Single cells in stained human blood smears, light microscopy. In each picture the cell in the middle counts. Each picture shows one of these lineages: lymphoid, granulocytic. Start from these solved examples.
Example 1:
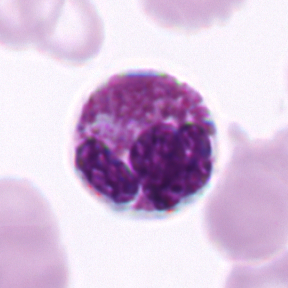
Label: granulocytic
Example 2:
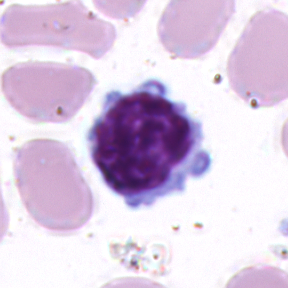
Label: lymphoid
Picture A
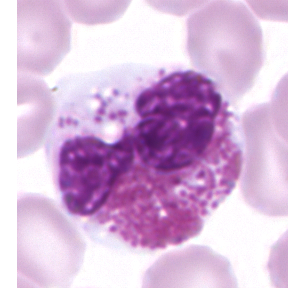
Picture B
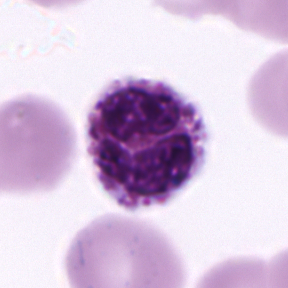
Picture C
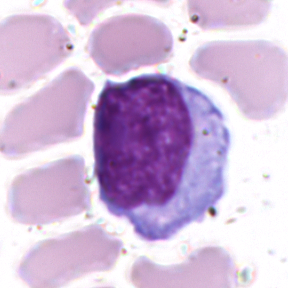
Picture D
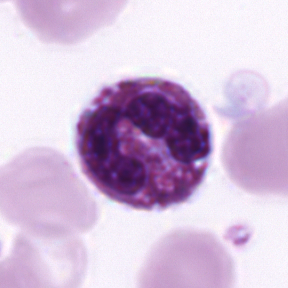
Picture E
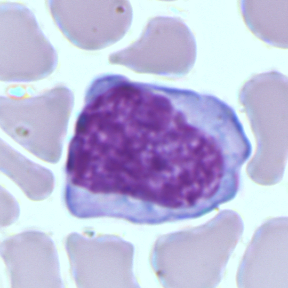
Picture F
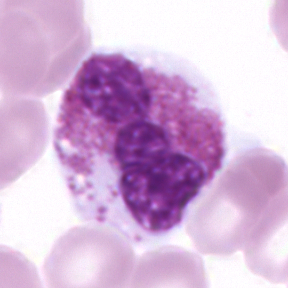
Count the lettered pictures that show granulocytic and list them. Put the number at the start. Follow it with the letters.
4: A, B, D, F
